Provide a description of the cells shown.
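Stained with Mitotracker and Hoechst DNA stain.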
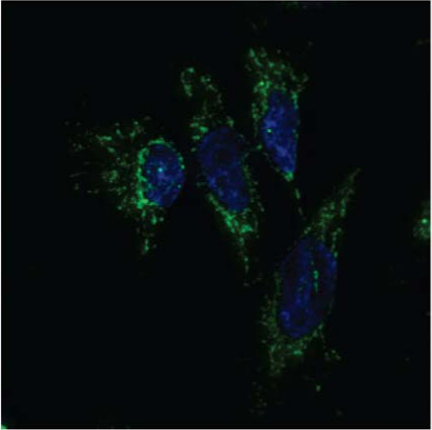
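Cultured cells, spread and elongated, with mitochondria shown as green puncta and short threads and large oval blue nuclei. The green network is spread through the whole cytoplasm, from around the nucleus out to the cell margins. Several cells send out long thin processes, and green puncta run along them to their tips. Cells lie apart or touch only at their ends.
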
